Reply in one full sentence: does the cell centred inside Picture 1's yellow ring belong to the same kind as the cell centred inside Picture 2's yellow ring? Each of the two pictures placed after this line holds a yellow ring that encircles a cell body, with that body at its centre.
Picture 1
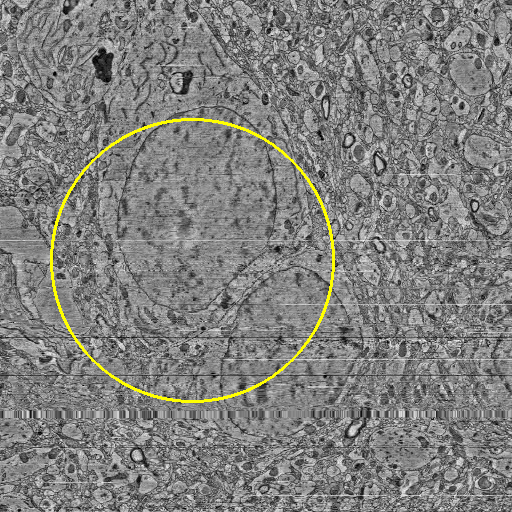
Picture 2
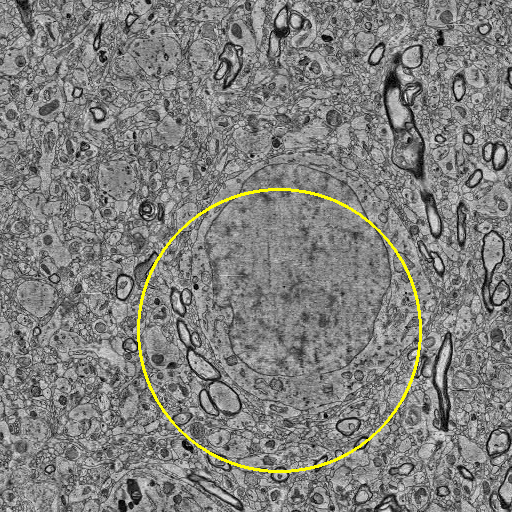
Yes, the ring-centred cells in Picture 1 and Picture 2 are of one and the same kind.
